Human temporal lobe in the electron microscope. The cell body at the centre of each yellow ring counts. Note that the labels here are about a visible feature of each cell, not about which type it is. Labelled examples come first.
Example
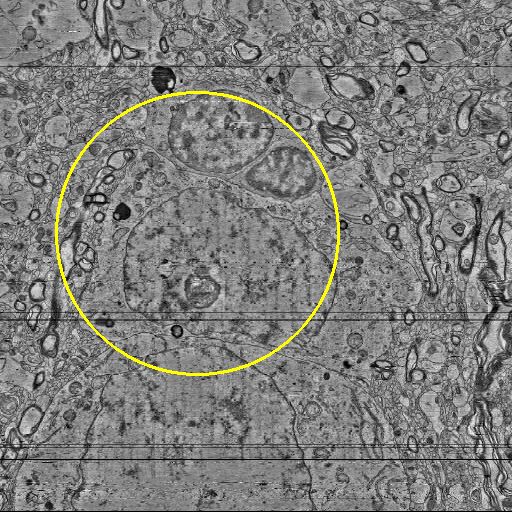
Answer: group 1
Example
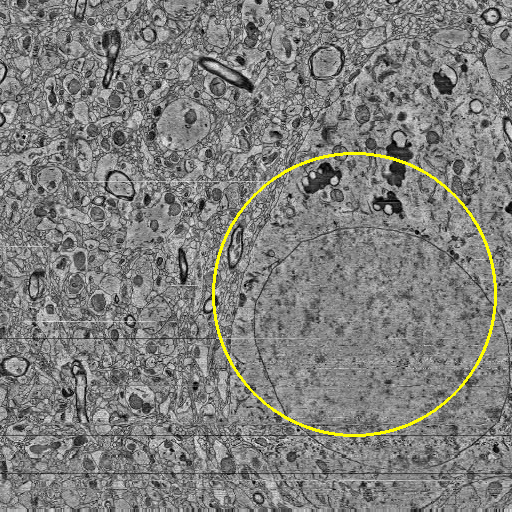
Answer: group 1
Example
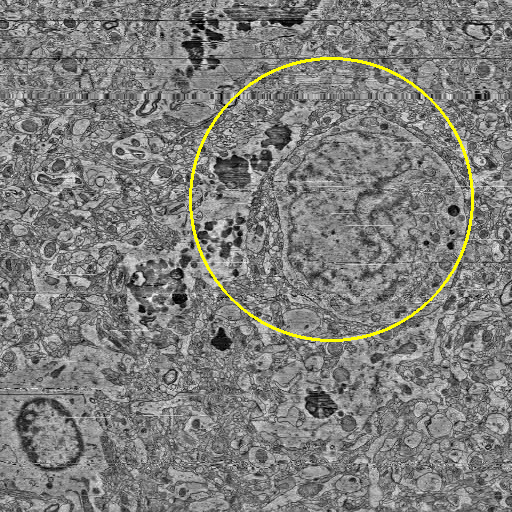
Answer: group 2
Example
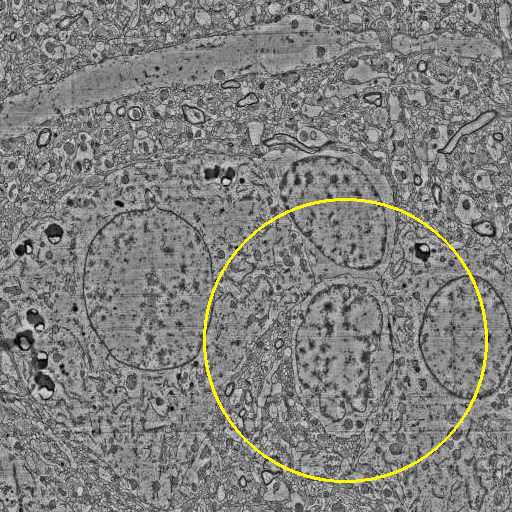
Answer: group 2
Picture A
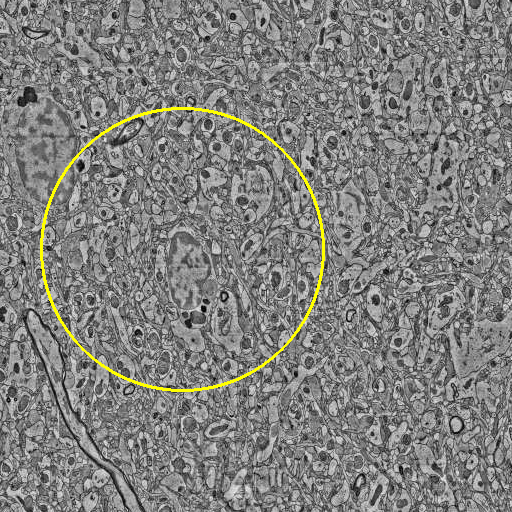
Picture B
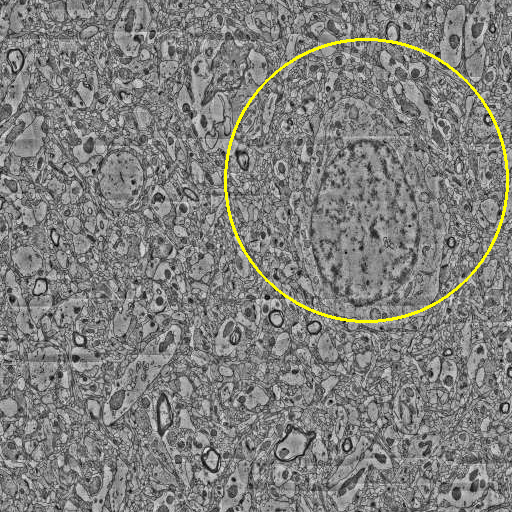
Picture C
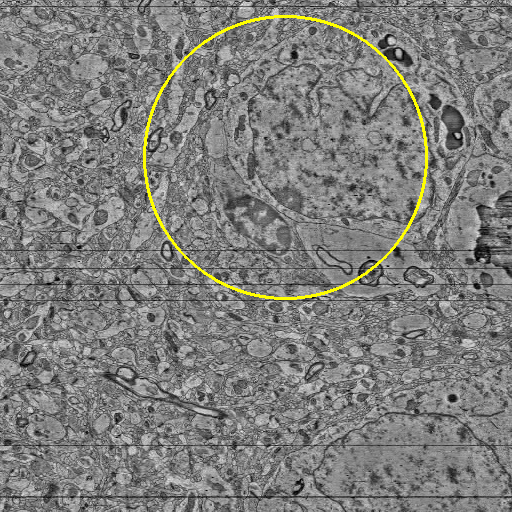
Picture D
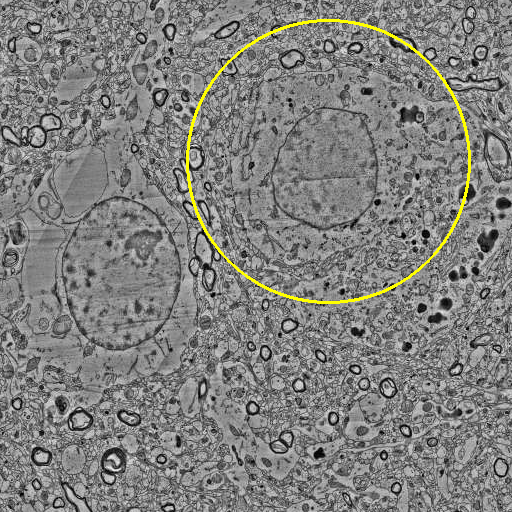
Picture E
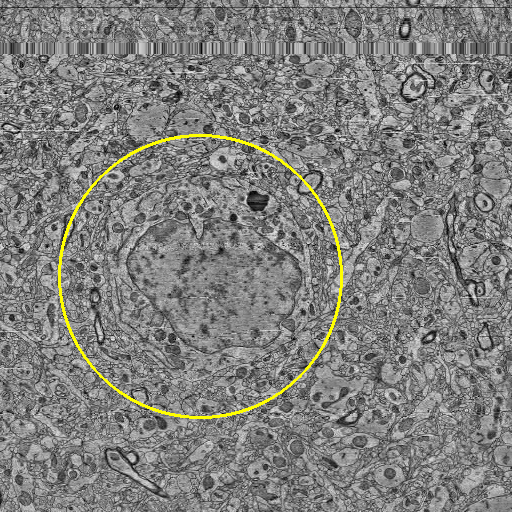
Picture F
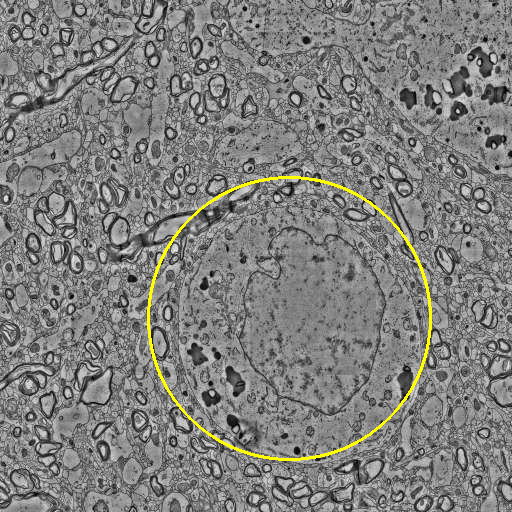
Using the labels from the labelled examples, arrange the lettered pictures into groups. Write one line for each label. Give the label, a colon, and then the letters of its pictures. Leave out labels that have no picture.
group 1: A, B, D
group 2: C, E, F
